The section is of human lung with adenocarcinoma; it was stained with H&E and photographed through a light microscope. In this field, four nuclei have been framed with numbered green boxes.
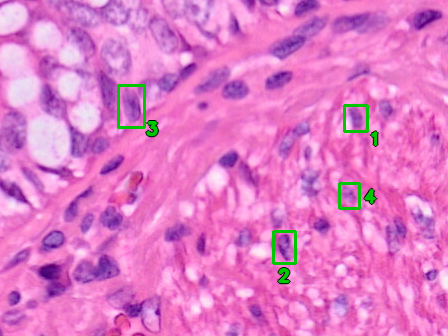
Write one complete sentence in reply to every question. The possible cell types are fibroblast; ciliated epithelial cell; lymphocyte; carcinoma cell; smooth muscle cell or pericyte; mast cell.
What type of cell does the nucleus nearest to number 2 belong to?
It is a smooth muscle cell or pericyte whose nucleus is nearest to number 2.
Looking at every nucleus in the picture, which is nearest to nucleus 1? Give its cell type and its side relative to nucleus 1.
It is a smooth muscle cell or pericyte, whose nucleus lies to the right of nucleus 1.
